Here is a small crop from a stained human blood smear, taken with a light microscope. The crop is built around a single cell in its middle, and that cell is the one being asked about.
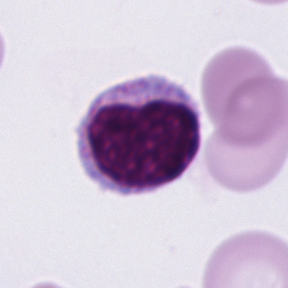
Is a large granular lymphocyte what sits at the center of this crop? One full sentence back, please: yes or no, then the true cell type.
Yes, the cell that is in the middle is a large granular lymphocyte.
